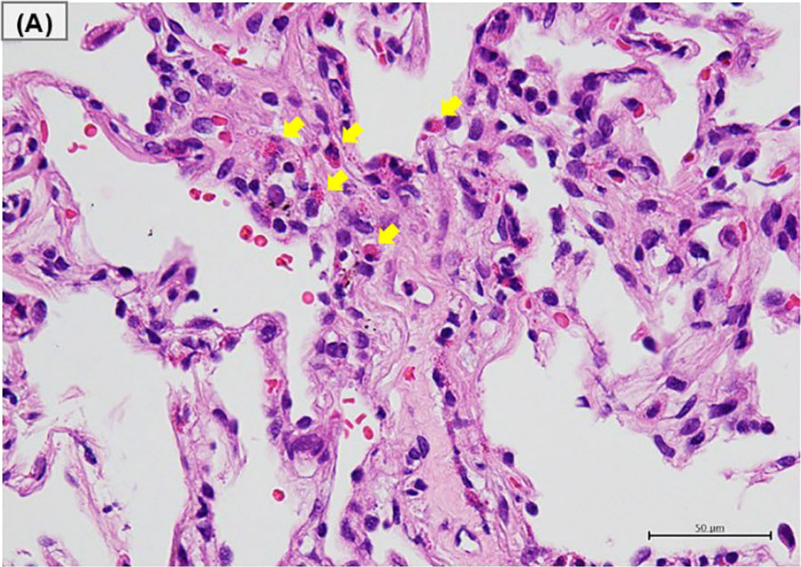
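This is lung tissue with alveolar walls that are thickened and crowded with inflammatory cells, among which eosinophils stand out by their bright red-pink granular cytoplasm. The alveolar spaces are open and mostly empty, with a few scattered red blood cells lying free in them. The septa contain many dark purple oval and rounded nuclei set in pale pink fibrous connective tissue. The eosinophils lie both within the widened walls and at their edges next to the air spaces. A few tiny dark specks of pigment are seen within the thickened interstitium.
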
